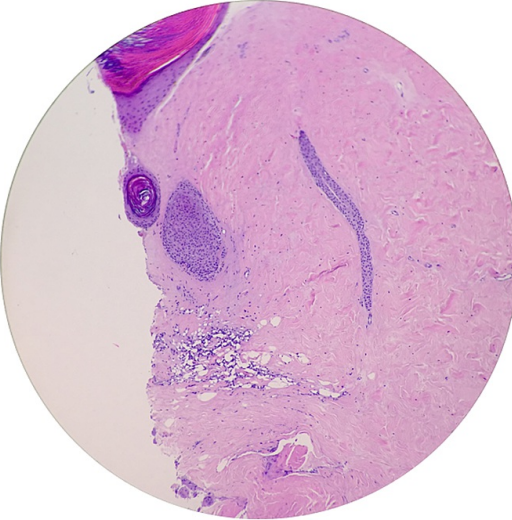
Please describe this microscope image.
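This is skin with a follicular opening at the upper left filled by a thick plug of bright pink keratin. Beneath it, within pale, dense dermal collagen, lie an oval nest of purple epithelial cells, a small concentric keratinizing structure, and a long narrow epithelial strand, all surrounded by sclerotic connective tissue. Lower down, a loose cluster of small dark-nucleated inflammatory cells gathers around small vessels.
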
